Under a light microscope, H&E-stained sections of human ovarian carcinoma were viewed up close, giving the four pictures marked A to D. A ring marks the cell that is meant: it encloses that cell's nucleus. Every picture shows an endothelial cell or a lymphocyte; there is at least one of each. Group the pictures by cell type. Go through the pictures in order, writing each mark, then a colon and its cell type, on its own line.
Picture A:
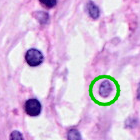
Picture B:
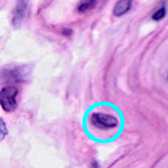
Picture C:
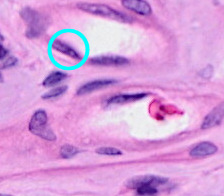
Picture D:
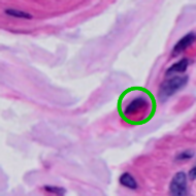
A: lymphocyte
B: lymphocyte
C: endothelial cell
D: endothelial cell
